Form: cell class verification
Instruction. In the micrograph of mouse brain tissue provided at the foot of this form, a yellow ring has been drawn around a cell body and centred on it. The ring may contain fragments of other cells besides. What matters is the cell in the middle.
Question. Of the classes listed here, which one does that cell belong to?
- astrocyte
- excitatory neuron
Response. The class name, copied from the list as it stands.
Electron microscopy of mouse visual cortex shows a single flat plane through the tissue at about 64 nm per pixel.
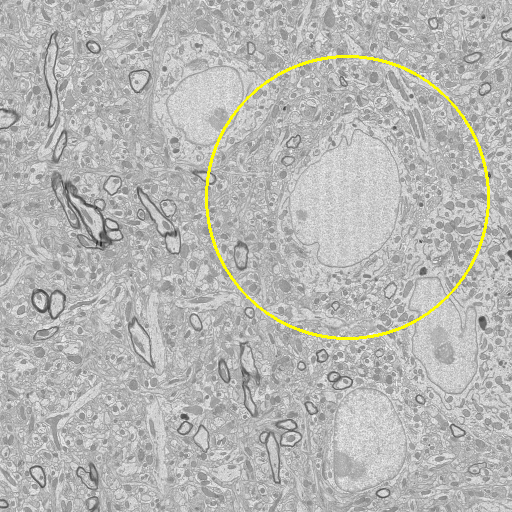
excitatory neuron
